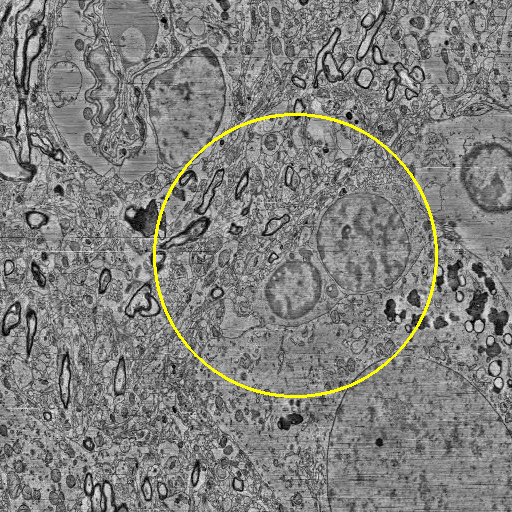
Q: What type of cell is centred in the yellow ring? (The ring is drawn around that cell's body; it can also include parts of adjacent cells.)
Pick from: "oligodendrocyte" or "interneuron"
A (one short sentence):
The yellow ring is centred on an oligodendrocyte.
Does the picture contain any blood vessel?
Yes.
